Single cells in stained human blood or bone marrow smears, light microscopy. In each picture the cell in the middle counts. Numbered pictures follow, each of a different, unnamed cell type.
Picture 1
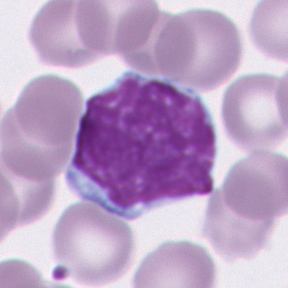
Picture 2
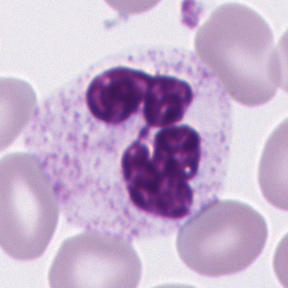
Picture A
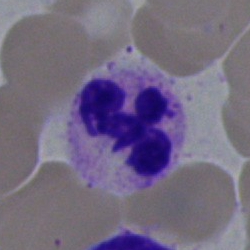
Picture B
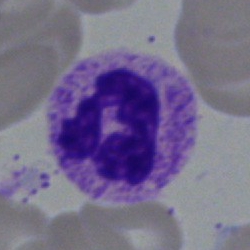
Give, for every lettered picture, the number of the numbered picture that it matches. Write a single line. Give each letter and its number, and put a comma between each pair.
A 2, B 2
